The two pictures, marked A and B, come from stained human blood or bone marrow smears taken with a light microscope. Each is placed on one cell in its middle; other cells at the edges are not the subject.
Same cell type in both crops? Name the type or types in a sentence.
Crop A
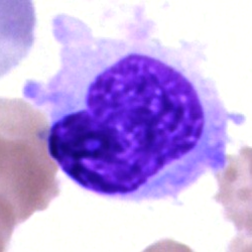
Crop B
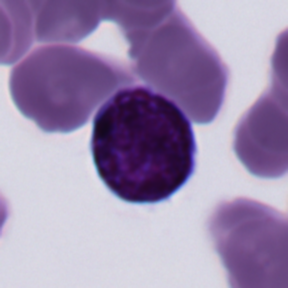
No, in crop A there is a hairy cell, and in crop B there is a blast.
